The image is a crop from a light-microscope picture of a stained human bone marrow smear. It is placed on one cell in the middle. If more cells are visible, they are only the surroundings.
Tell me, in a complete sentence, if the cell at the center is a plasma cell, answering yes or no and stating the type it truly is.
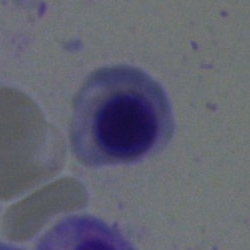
No, the central cell is properly termed an erythroblast, not a plasma cell.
